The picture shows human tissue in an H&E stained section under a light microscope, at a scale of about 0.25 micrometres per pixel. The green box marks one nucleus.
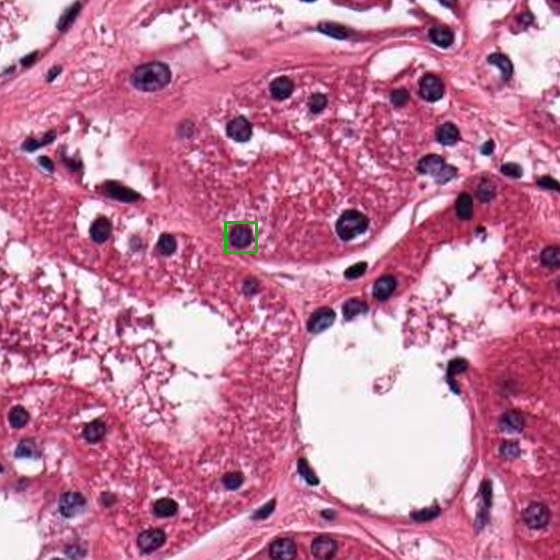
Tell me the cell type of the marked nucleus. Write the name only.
proximal tubule cell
